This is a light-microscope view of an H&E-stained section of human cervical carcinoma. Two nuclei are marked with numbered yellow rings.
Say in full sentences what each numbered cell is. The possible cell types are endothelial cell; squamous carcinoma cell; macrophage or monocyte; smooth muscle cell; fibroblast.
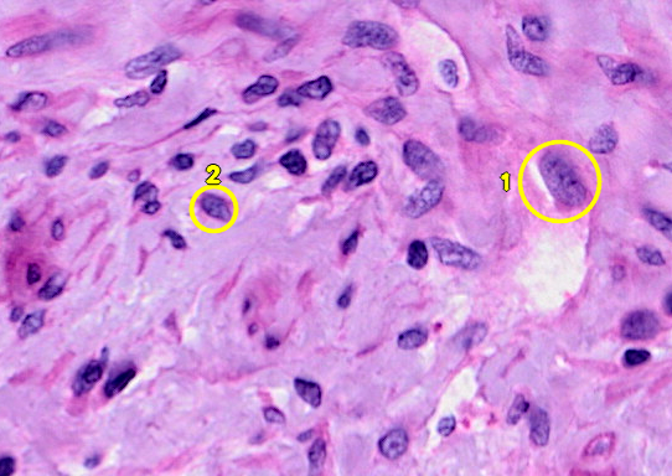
Cell 1 is an endothelial cell. Cell 2 is a smooth muscle cell.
